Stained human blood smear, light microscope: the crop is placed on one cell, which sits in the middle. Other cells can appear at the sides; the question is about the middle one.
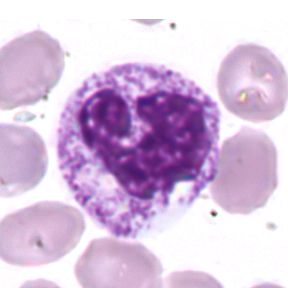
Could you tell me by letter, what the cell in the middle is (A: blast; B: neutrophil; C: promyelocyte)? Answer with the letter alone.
B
